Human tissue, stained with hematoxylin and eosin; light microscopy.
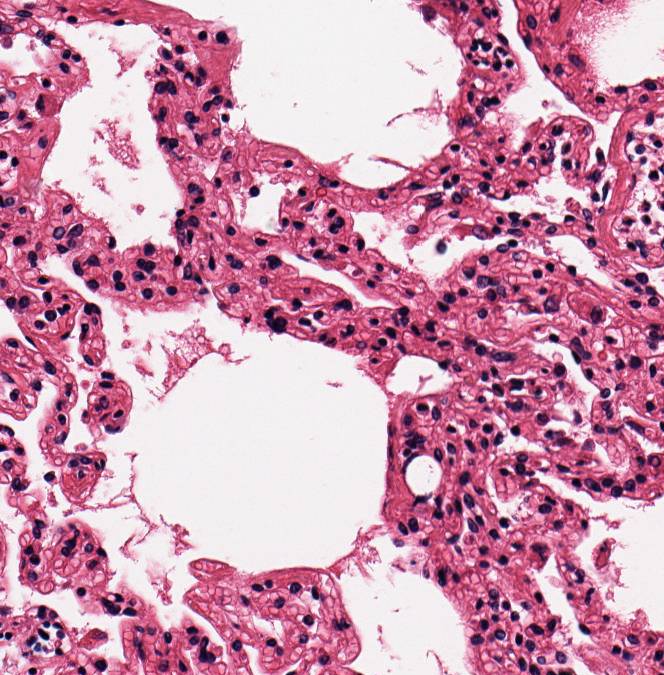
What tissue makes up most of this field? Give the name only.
alveolus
